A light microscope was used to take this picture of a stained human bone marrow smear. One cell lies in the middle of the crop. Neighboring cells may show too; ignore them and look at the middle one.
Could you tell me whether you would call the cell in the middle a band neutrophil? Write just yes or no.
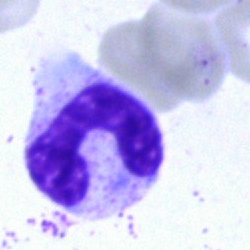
yes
